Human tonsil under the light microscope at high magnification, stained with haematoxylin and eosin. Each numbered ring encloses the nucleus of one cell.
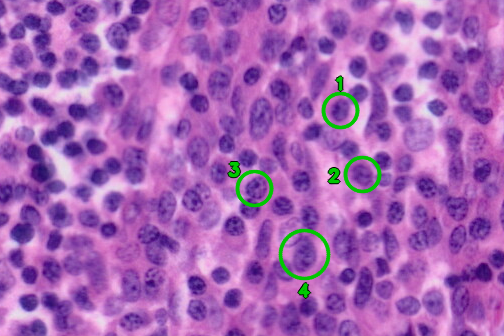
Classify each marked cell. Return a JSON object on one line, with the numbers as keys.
{"1": "plasma cell", "2": "plasma cell", "3": "plasma cell", "4": "squamous epithelial cell"}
